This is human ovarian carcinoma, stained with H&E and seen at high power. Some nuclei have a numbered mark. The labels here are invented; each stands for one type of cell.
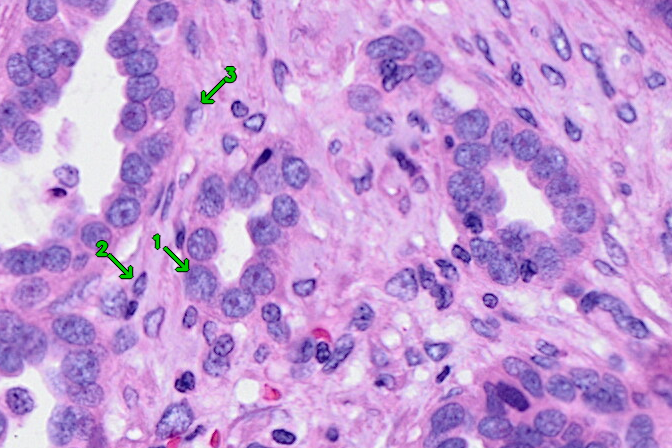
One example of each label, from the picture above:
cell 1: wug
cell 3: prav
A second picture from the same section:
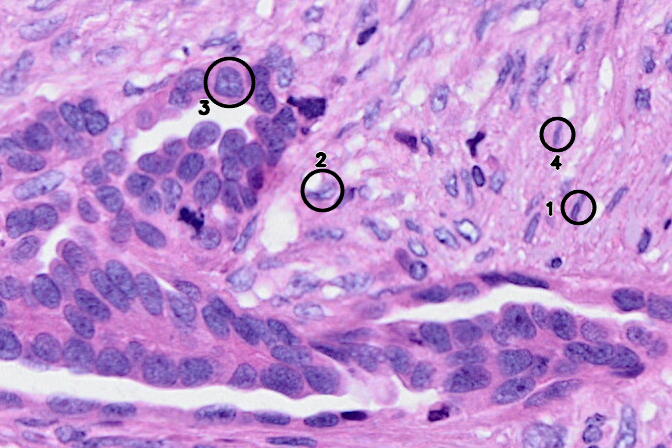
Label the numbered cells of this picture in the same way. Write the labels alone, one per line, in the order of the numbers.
prav
prav
wug
prav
